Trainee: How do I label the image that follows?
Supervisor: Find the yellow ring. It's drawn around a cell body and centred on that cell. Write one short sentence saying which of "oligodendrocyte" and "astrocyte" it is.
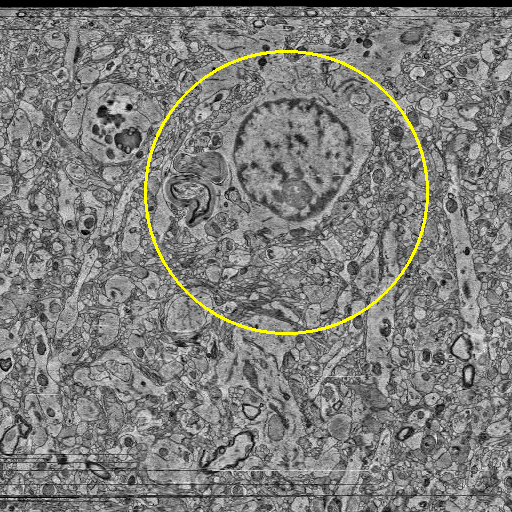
This is the cell body of an astrocyte.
